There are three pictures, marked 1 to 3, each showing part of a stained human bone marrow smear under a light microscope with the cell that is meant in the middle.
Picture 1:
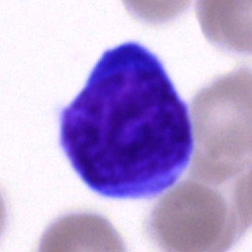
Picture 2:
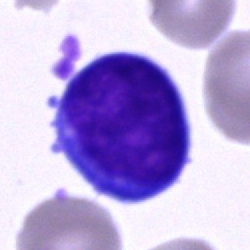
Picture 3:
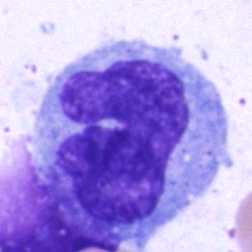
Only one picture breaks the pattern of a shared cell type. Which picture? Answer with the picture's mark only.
3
